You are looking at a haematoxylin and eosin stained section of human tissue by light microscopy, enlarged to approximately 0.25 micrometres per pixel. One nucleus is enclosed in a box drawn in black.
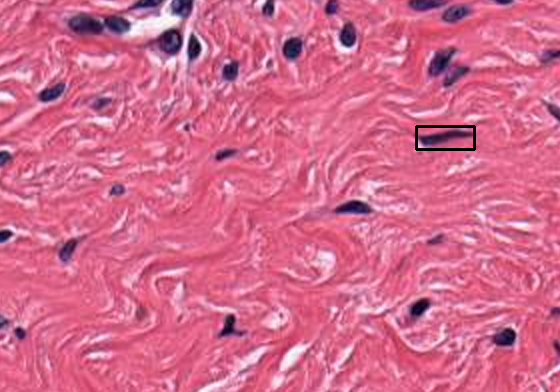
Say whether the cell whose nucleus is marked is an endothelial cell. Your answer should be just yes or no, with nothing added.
no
